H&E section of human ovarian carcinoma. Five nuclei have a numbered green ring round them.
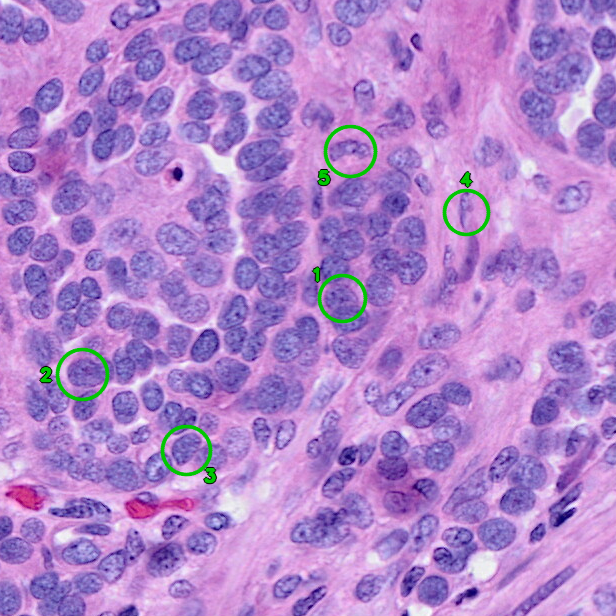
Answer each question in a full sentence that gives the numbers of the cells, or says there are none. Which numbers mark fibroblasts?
The cells picked out by numbers 4 and 5 are fibroblasts.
